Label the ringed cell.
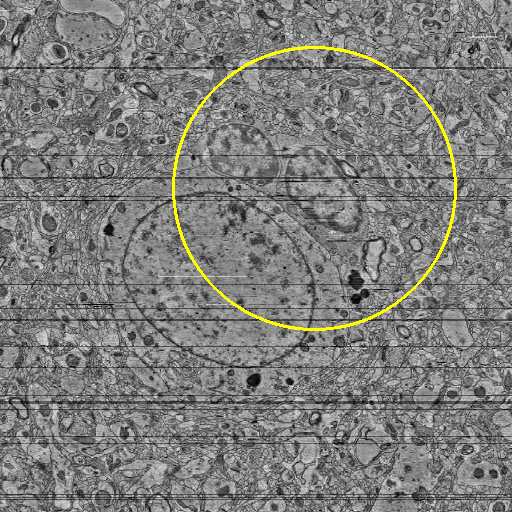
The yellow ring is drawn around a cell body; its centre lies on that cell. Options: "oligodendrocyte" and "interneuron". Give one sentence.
The ringed cell is an oligodendrocyte.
